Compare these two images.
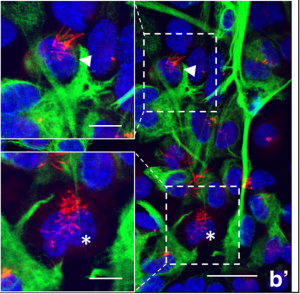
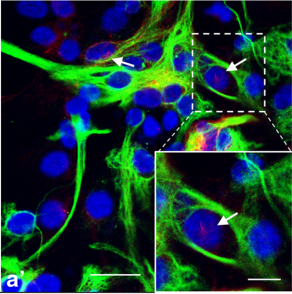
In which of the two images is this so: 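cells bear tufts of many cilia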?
The first image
